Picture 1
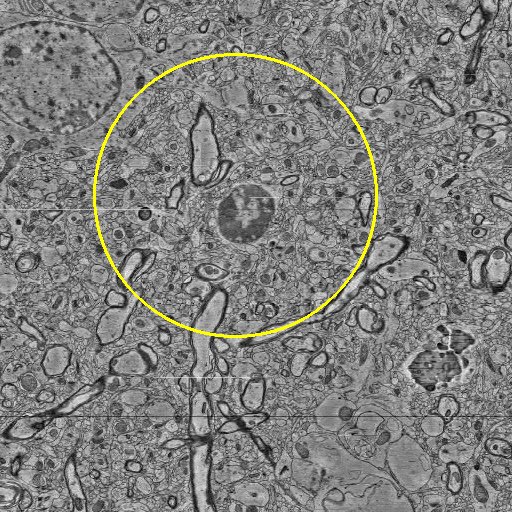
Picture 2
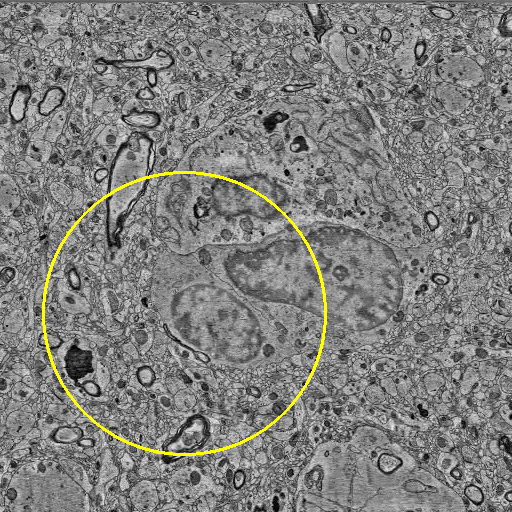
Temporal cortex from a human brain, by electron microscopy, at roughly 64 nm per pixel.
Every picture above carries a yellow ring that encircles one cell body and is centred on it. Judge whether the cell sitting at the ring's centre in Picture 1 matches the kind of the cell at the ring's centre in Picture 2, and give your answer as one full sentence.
No, the cells centred in the rings of Pictures 1 and 2 belong to two kinds.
